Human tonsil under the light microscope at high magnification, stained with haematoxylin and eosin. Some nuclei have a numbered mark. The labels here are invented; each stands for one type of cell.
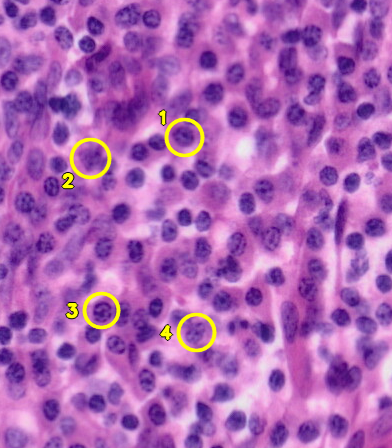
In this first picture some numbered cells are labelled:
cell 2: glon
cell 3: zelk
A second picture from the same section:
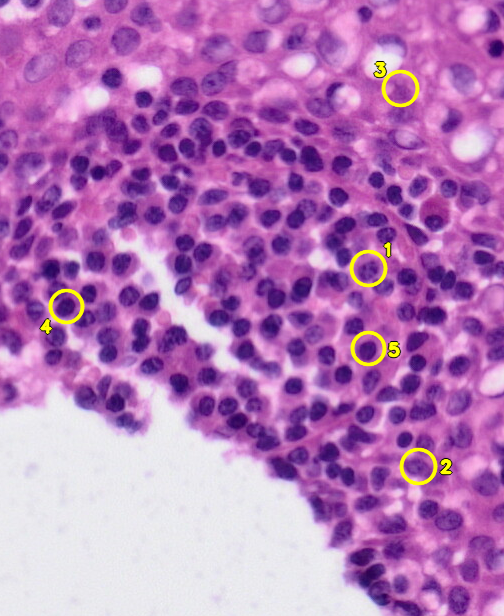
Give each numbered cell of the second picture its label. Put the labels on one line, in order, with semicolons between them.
zelk; glon; glon; zelk; zelk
